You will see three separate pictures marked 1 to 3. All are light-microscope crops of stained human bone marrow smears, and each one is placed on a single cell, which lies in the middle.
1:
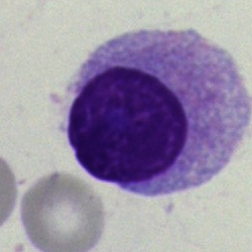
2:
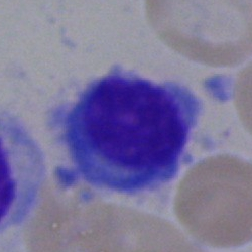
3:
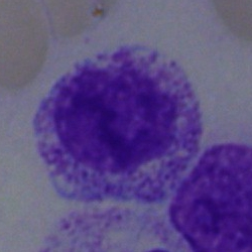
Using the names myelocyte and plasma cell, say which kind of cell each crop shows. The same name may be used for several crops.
1: plasma cell
2: plasma cell
3: myelocyte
